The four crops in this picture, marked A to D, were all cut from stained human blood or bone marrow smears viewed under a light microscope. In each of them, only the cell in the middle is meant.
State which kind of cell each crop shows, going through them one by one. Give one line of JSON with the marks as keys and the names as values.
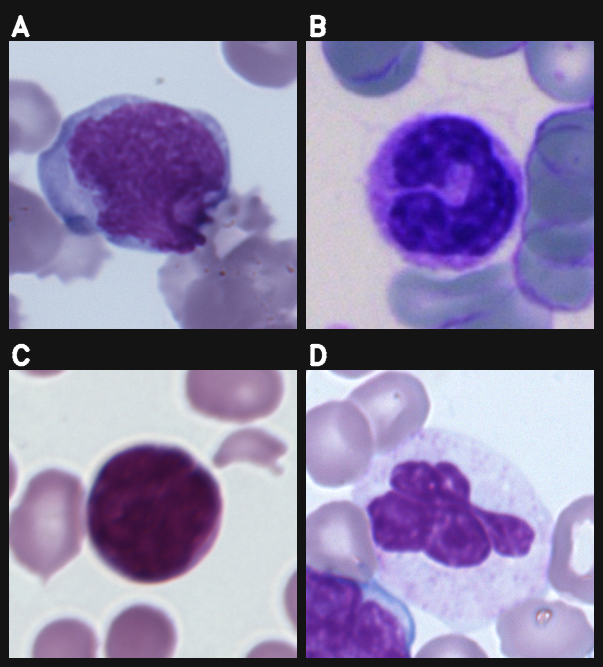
{"A": "blast", "B": "neutrophil", "C": "blast", "D": "neutrophil"}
